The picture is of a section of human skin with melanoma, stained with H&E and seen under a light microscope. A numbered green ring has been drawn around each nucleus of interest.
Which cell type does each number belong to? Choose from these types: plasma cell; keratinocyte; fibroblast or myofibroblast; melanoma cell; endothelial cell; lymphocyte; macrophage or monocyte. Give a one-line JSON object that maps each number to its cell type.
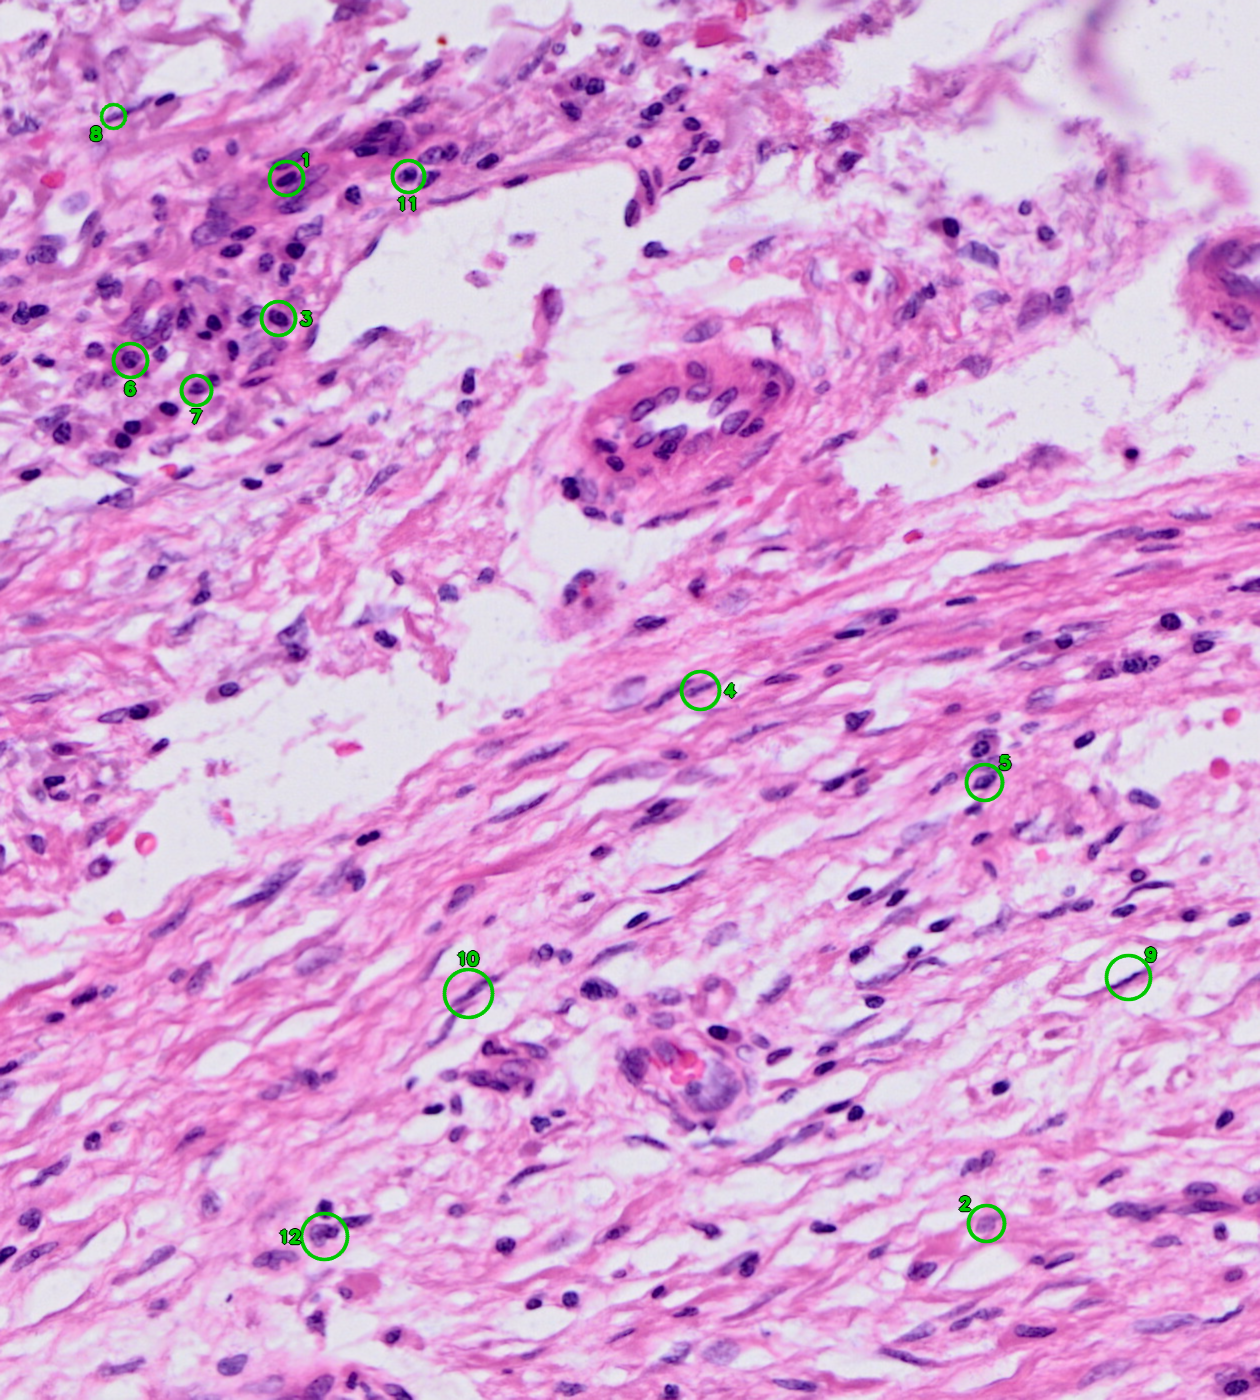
{"1": "endothelial cell", "2": "macrophage or monocyte", "3": "plasma cell", "4": "fibroblast or myofibroblast", "5": "lymphocyte", "6": "plasma cell", "7": "plasma cell", "8": "fibroblast or myofibroblast", "9": "fibroblast or myofibroblast", "10": "fibroblast or myofibroblast", "11": "lymphocyte", "12": "macrophage or monocyte"}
